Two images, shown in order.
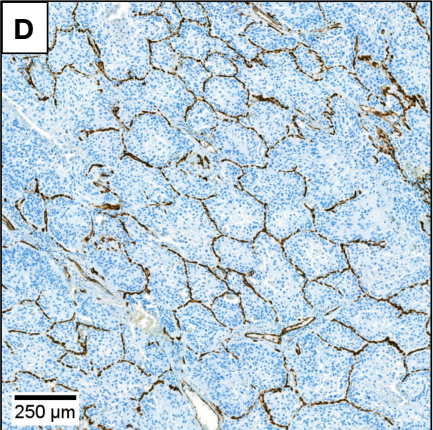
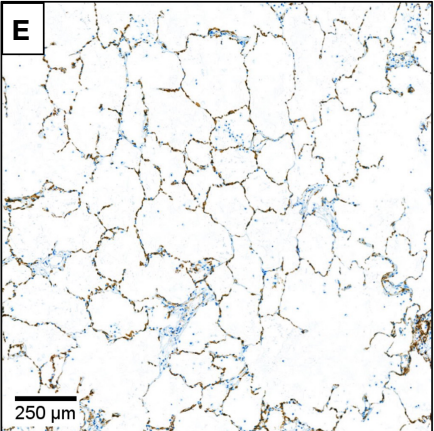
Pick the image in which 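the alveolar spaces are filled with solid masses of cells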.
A: the first image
